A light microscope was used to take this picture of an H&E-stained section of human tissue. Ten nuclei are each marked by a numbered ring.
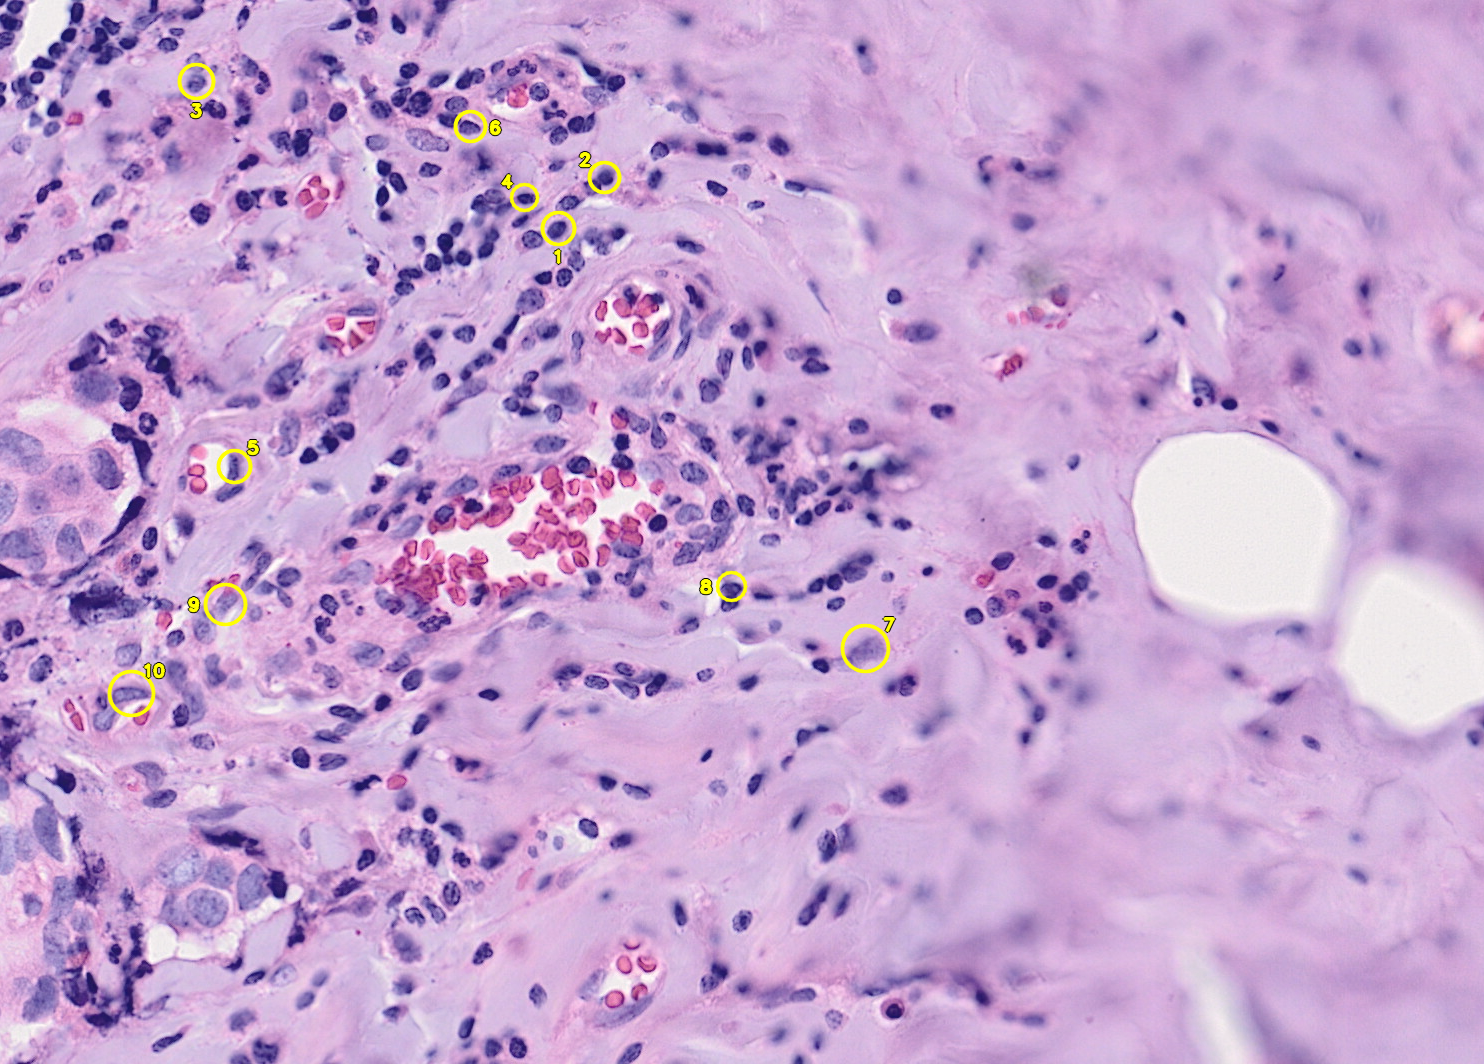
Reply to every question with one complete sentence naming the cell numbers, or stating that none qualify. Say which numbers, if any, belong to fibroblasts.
Cell 7 stands alone among the numbered cells as a fibroblast.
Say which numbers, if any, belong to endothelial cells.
Identification: the cells with numbers 5, 9 and 10 are endothelial cells.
